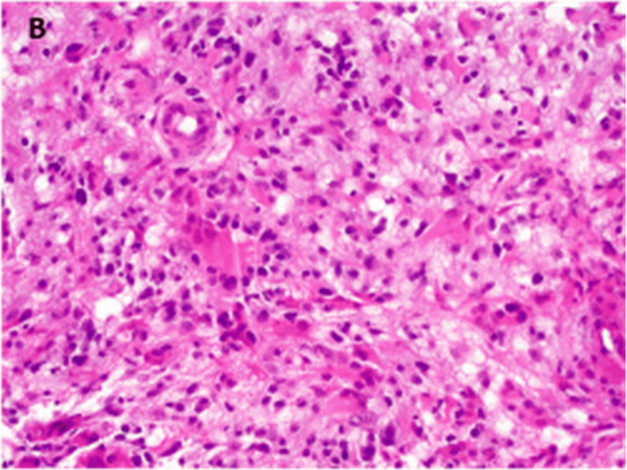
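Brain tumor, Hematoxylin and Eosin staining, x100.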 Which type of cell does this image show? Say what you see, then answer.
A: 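Round to fusiform cells. Some cells are rounded with abundant pink cytoplasm. Other cells are elongated and spindle-shaped.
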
